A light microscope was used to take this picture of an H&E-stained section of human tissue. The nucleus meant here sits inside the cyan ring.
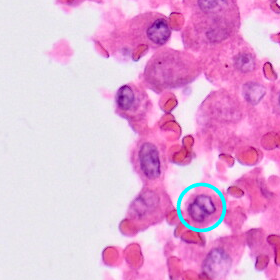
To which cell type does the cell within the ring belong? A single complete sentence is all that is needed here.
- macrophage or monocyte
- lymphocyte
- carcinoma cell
Histopathologically, the cell within the ring is a macrophage or monocyte.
